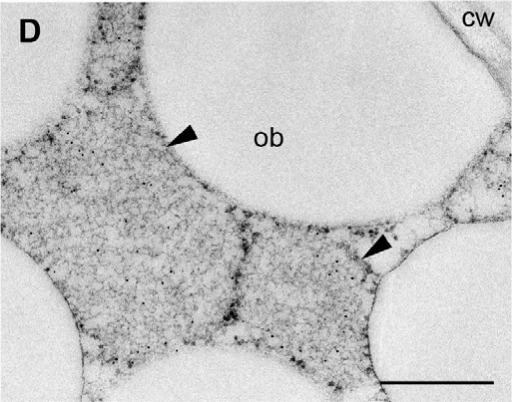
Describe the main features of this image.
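Very large, round, pale oil bodies fill much of the field. The cytoplasm between them holds broad areas of loosely packed, finely granular material. Small black dots are scattered over these areas.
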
